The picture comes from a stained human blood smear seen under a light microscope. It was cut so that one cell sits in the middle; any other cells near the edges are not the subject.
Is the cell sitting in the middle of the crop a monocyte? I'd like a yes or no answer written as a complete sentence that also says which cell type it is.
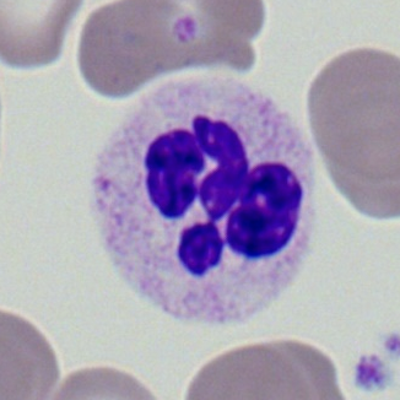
No, looking at the central cell, it is a segmented neutrophil rather than a monocyte.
